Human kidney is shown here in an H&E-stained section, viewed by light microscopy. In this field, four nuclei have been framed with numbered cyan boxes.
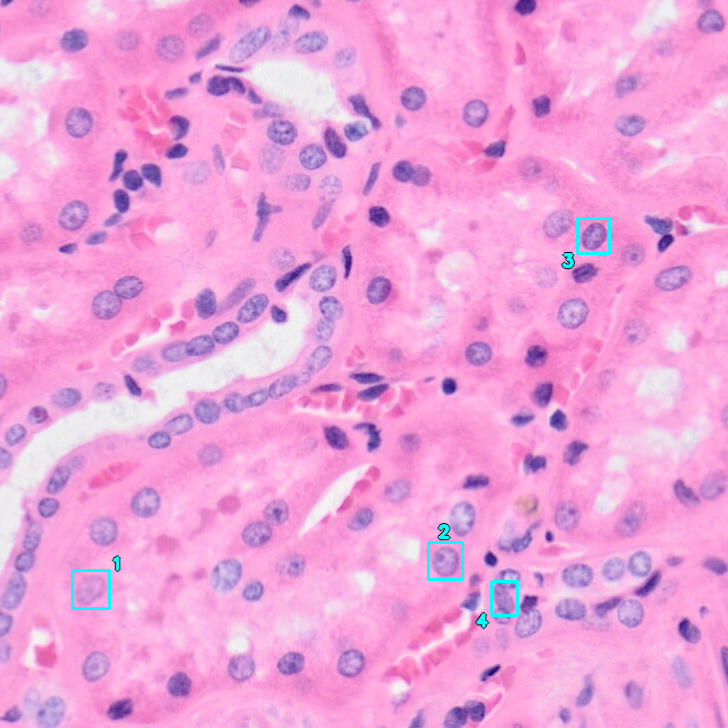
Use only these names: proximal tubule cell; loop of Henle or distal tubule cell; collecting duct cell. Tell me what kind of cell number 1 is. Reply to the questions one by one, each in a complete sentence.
The one numbered 1 among the marked cells is a proximal tubule cell.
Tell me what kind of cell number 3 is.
The cell given label 3 is a proximal tubule cell.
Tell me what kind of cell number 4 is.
Classified as a collecting duct cell is the cell with the number 4.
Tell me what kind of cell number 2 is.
That cell with number 2 is a proximal tubule cell.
